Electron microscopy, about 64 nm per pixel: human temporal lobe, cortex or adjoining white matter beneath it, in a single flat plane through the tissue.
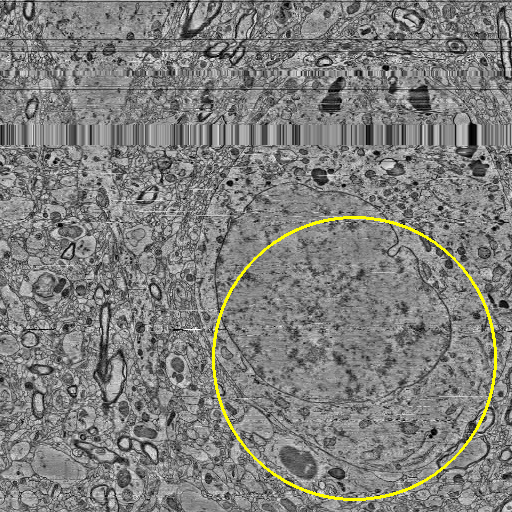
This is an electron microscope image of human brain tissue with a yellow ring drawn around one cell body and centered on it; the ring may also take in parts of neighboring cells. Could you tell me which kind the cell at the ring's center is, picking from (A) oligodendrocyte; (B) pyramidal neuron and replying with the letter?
B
